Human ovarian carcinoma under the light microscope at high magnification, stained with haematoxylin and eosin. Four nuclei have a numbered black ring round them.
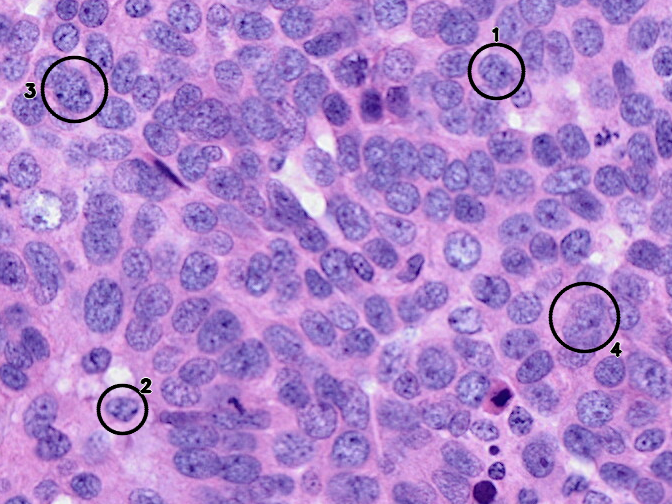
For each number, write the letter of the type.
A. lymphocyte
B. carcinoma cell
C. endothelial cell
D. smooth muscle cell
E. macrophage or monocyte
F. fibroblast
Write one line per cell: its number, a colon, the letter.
1: B
2: E
3: B
4: B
